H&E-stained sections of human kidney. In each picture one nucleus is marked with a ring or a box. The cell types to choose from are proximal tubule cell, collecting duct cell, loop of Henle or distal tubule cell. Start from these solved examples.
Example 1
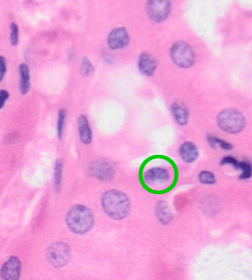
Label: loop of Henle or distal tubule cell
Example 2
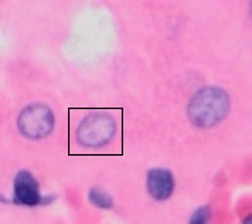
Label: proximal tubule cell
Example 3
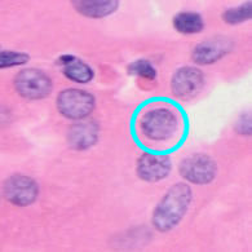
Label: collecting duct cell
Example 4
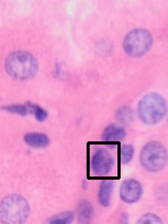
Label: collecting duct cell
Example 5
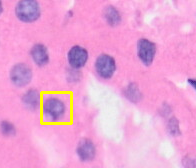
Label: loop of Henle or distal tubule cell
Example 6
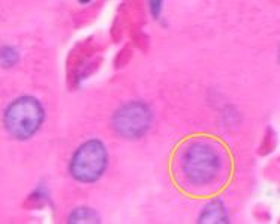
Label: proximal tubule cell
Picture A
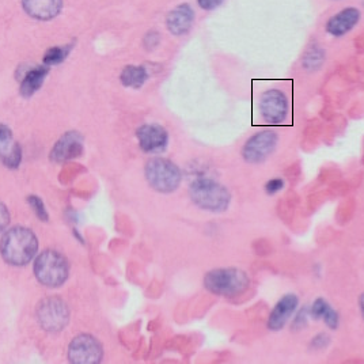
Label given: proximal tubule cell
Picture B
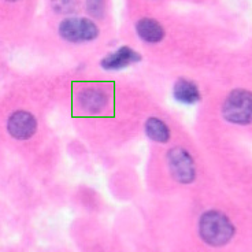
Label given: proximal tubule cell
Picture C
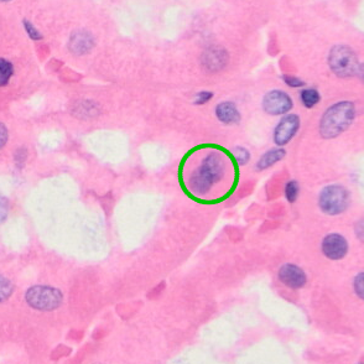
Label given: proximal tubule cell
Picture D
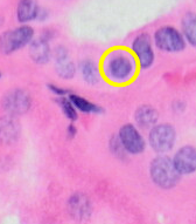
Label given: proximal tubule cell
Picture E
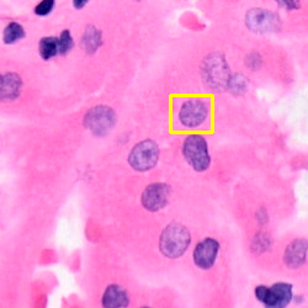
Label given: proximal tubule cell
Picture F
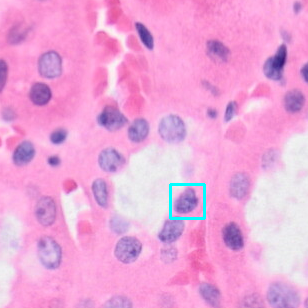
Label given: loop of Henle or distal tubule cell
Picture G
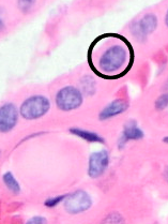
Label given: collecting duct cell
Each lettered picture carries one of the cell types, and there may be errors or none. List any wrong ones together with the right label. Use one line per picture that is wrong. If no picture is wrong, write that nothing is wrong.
A: change proximal tubule cell to loop of Henle or distal tubule cell
D: change proximal tubule cell to collecting duct cell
